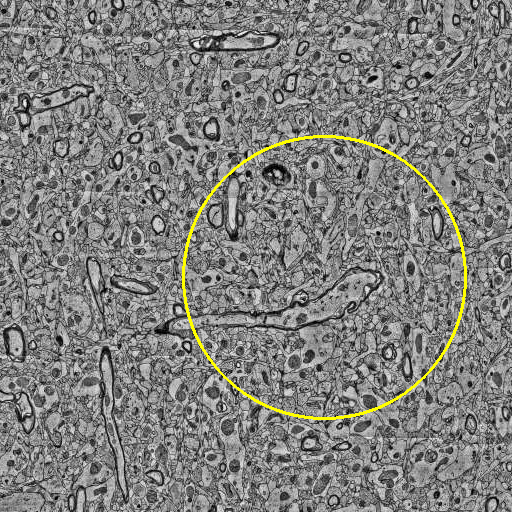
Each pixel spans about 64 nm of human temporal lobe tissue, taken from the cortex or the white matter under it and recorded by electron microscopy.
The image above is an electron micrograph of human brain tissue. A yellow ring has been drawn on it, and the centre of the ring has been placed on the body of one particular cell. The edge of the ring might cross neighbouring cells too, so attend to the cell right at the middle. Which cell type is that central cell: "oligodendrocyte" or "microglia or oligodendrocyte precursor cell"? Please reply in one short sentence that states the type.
The central cell in the ring is a microglial cell or oligodendrocyte precursor cell.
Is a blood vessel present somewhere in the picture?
No.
